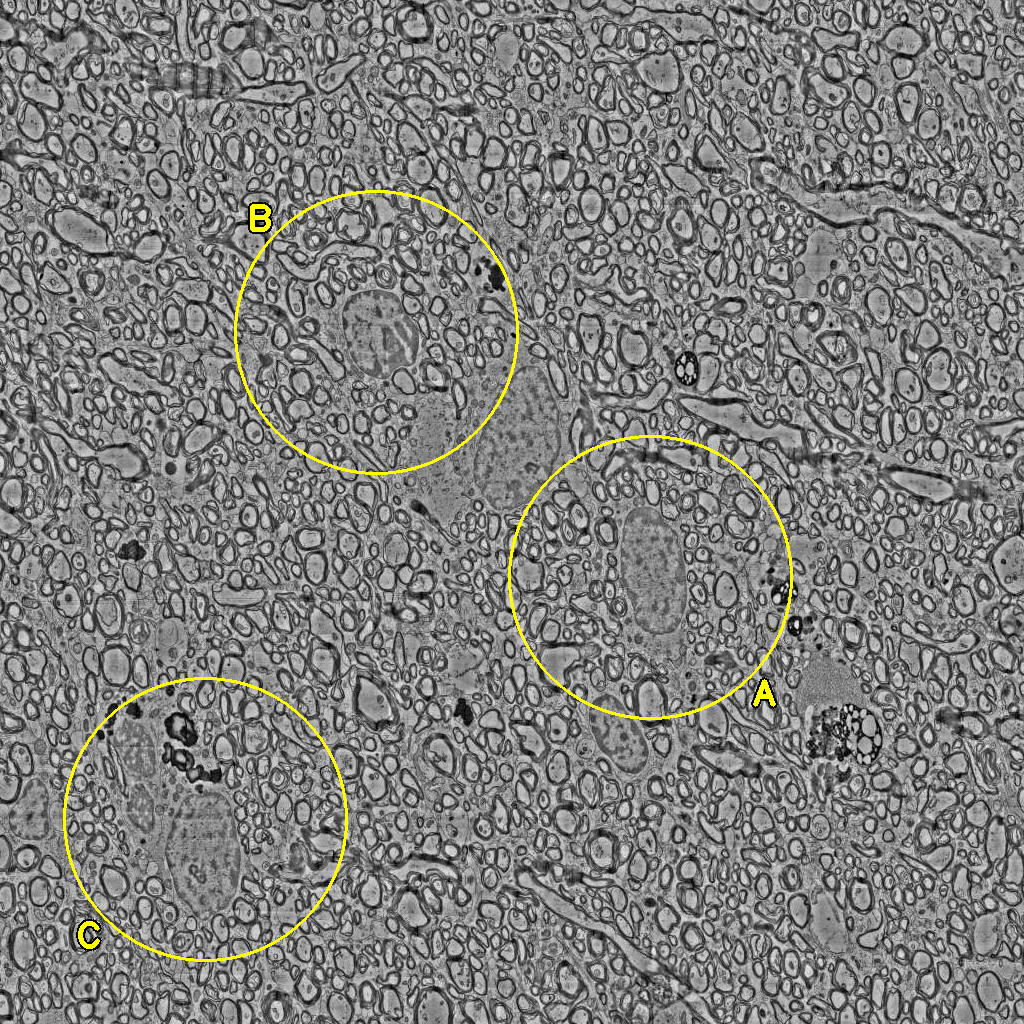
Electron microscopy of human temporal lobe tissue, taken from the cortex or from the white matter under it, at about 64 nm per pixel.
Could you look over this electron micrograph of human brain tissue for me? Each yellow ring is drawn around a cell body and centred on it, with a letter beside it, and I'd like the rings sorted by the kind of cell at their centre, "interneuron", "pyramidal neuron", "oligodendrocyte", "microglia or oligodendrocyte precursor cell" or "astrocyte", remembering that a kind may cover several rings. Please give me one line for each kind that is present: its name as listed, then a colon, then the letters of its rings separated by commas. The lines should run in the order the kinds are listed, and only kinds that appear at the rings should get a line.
oligodendrocyte: A, C
microglia or oligodendrocyte precursor cell: B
